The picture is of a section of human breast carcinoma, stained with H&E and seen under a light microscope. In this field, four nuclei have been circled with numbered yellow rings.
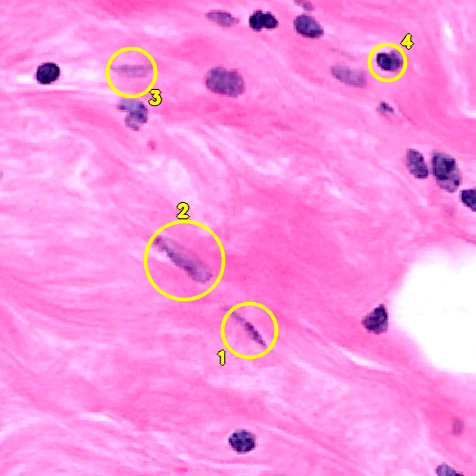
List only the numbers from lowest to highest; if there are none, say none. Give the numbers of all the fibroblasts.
1, 2, 3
